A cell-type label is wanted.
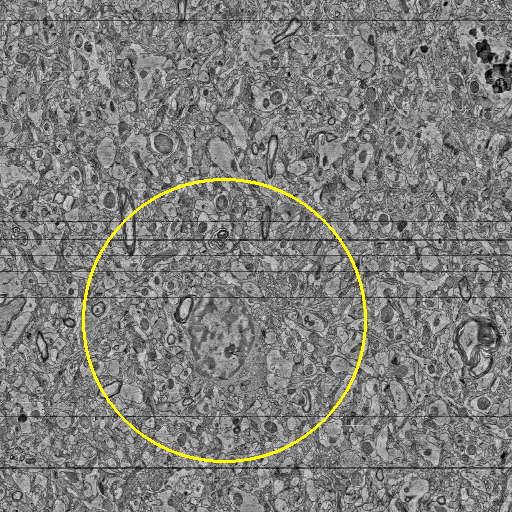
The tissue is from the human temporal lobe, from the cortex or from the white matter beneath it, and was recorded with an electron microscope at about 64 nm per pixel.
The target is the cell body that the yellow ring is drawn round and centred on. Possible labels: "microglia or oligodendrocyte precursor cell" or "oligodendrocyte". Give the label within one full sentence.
Of the labels offered, the cell in the middle of the yellow ring is an oligodendrocyte.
